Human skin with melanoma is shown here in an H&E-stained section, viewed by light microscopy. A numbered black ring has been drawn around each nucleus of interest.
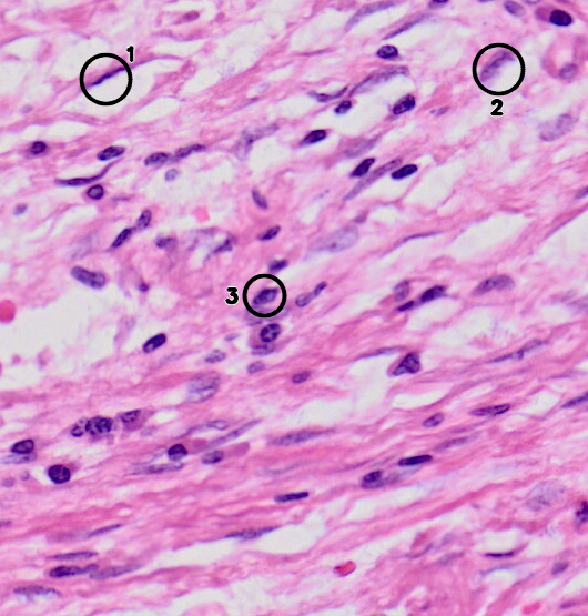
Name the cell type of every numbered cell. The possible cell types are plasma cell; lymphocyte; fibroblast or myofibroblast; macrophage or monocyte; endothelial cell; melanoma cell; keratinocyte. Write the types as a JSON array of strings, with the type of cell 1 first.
["fibroblast or myofibroblast", "fibroblast or myofibroblast", "lymphocyte"]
